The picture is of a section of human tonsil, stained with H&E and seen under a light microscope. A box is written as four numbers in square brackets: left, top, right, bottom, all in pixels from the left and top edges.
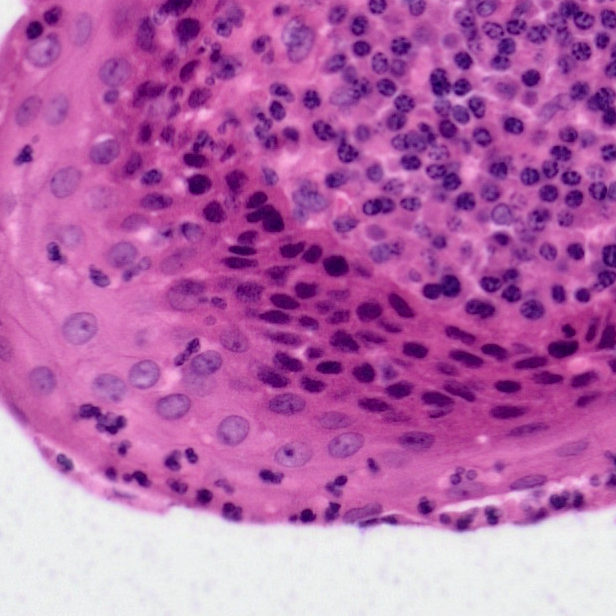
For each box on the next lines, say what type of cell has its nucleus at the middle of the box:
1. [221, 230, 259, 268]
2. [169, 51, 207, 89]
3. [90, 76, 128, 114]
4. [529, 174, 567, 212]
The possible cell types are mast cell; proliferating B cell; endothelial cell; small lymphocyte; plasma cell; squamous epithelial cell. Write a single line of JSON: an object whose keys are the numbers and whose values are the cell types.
{"1": "squamous epithelial cell", "2": "squamous epithelial cell", "3": "squamous epithelial cell", "4": "plasma cell"}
